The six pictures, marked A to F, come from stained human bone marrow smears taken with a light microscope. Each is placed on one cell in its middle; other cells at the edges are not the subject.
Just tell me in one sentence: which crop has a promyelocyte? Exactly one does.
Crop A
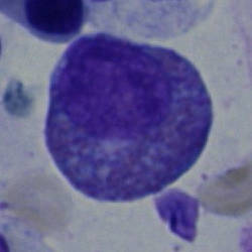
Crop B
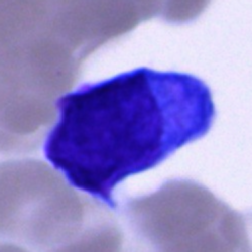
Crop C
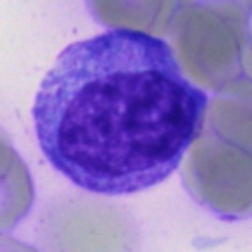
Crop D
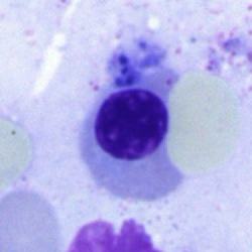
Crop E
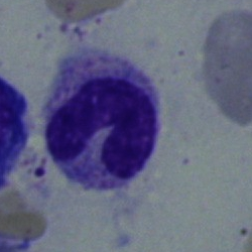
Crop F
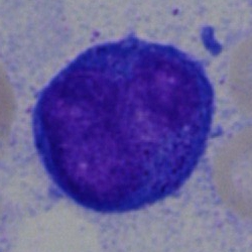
That would be crop F; it shows a promyelocyte.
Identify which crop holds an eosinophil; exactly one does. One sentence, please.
The requested cell, an eosinophil, is the one in crop A.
